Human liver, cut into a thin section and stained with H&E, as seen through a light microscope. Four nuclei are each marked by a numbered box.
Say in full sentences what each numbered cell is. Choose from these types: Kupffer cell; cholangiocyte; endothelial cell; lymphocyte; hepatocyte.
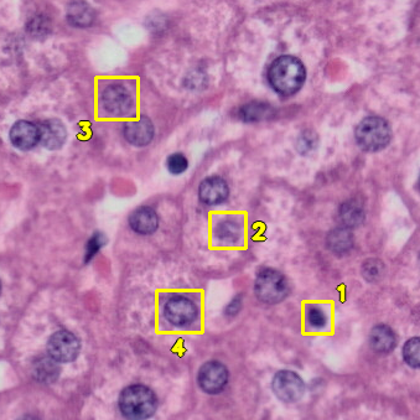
Cell 1 is a lymphocyte. Cells 2, 3 and 4 are hepatocytes.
